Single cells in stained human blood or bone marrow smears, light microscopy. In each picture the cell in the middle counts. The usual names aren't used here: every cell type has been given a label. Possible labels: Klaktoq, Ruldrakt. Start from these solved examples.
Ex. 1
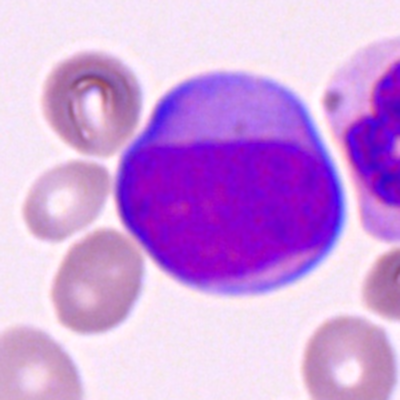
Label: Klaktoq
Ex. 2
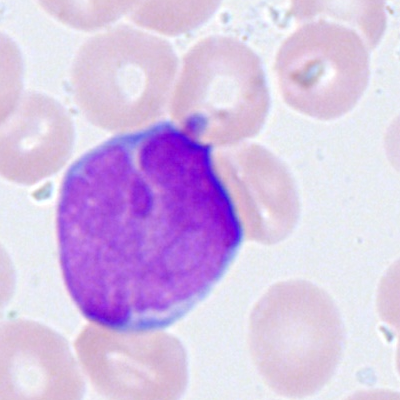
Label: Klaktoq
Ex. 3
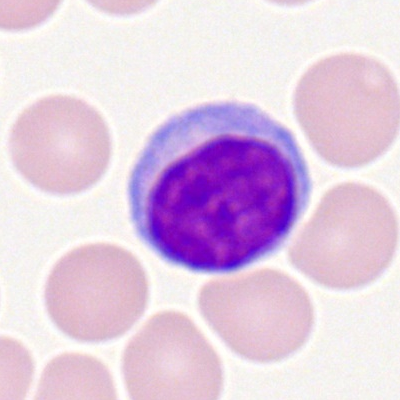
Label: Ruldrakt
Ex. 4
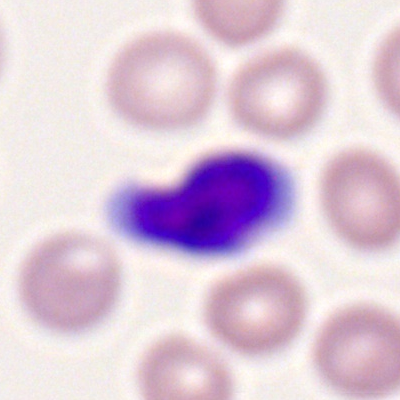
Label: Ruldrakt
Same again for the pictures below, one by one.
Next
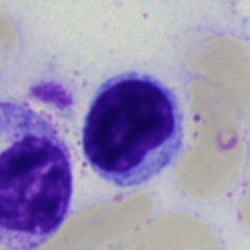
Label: Ruldrakt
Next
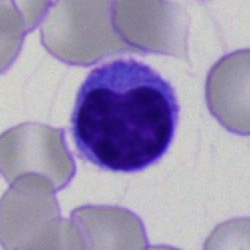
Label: Ruldrakt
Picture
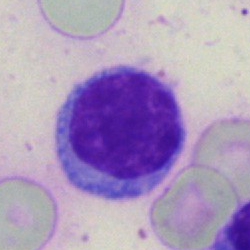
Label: Ruldrakt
